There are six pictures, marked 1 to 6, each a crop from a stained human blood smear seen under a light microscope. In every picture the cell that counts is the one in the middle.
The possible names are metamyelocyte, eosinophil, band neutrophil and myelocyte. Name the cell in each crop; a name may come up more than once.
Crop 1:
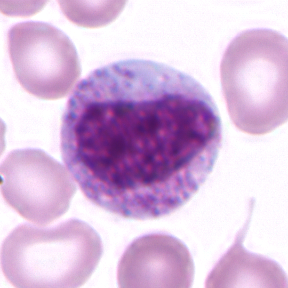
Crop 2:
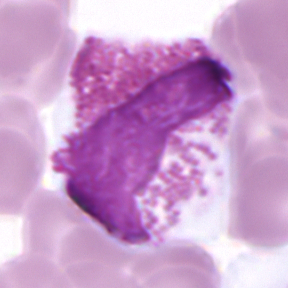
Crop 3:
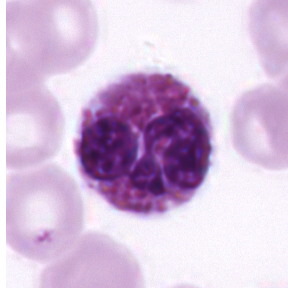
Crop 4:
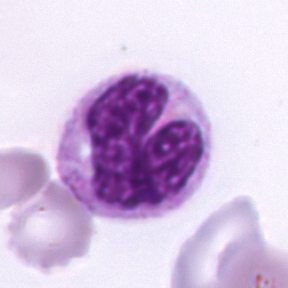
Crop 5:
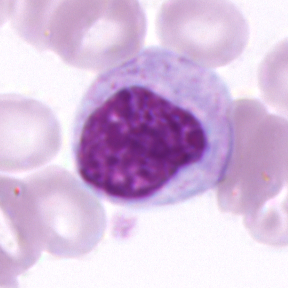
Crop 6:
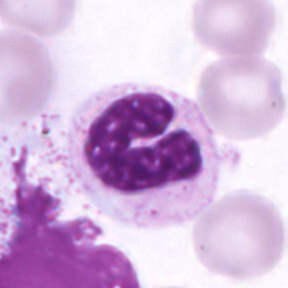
1: metamyelocyte
2: eosinophil
3: eosinophil
4: band neutrophil
5: metamyelocyte
6: band neutrophil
